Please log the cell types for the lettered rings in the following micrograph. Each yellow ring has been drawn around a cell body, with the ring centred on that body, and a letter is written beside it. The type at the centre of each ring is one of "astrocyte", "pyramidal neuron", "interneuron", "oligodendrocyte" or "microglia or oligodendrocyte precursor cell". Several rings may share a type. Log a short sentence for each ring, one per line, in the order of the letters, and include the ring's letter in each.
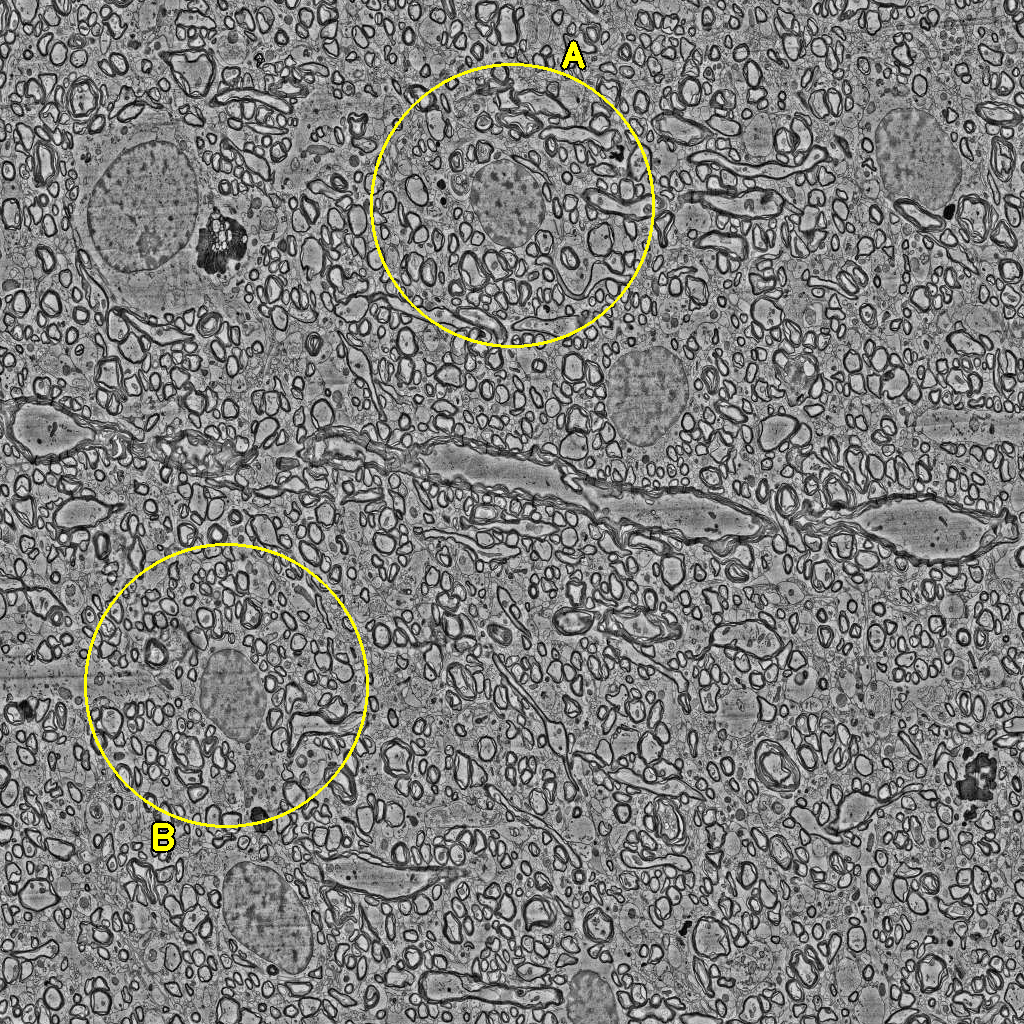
In ring A the central cell is a microglial cell or oligodendrocyte precursor cell.
In ring B the central cell is an oligodendrocyte.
